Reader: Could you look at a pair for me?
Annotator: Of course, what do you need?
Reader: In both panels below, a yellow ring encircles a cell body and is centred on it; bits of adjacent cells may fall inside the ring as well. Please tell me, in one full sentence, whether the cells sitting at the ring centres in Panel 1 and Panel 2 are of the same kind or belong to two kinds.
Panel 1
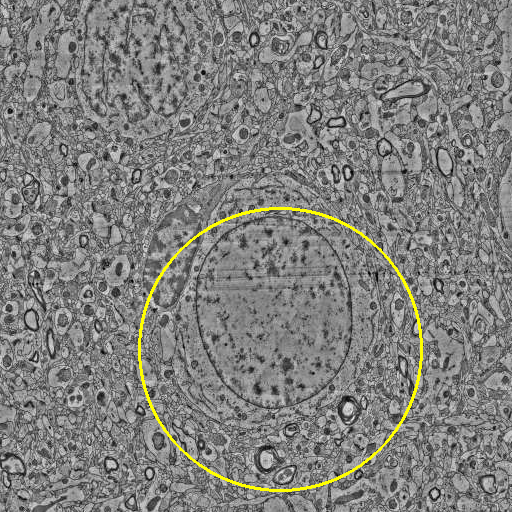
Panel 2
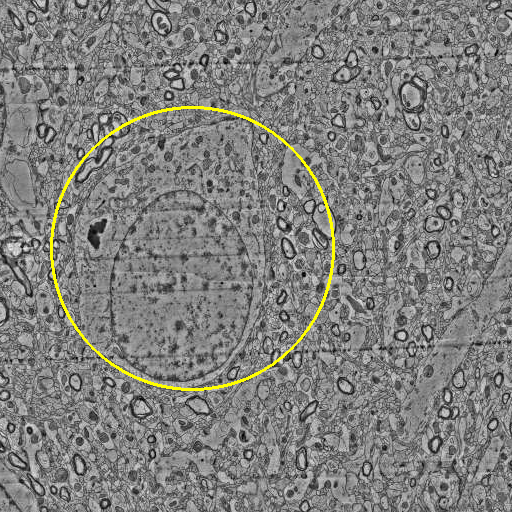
The cell at the ring's centre in Panel 1 and the one in Panel 2 are of the same kind.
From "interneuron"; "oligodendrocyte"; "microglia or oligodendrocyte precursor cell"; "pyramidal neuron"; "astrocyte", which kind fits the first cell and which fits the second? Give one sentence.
Each one of the two ringed cells is a pyramidal neuron.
